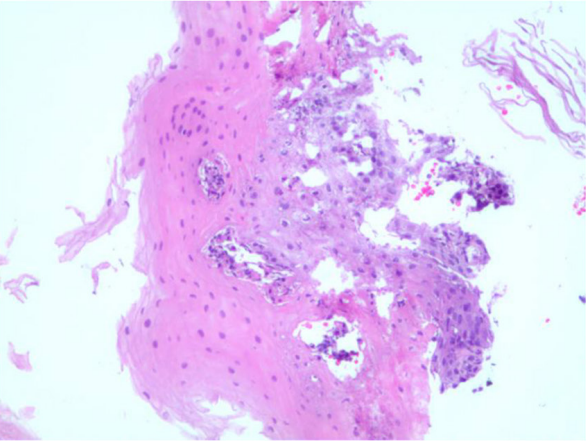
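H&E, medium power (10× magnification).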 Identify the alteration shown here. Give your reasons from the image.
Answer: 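The right part of the epithelium is fragmented and full of holes. Cells there are pale and vacuolated, with poorly kept outlines. A compact deep pink squamous layer remains on the left. So: necrosis and degeneration of the squamous mucosa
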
